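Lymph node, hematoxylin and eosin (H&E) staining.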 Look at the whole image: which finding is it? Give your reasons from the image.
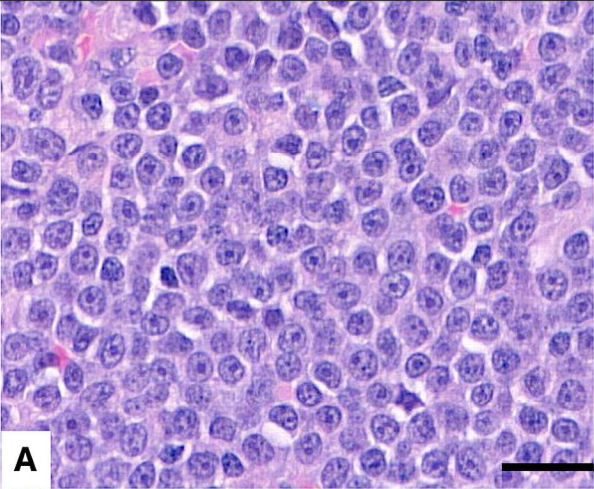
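Sheets of closely packed, uniform atypical cells fill the whole field without follicles. Nuclei are medium to large, round to slightly irregular. Many nuclei show a single distinct nucleolus and fine chromatin.
Diffuse, medium- to large-cell lymphoma.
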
